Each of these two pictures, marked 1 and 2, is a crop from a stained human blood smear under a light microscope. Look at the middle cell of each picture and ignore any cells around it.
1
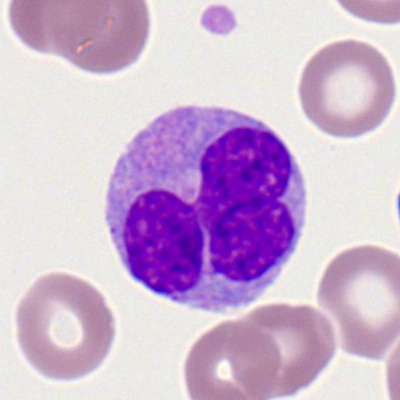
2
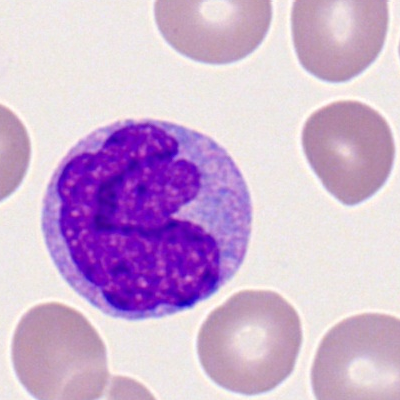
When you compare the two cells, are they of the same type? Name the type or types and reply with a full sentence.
Yes, both crops show monocytes, and the two match.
